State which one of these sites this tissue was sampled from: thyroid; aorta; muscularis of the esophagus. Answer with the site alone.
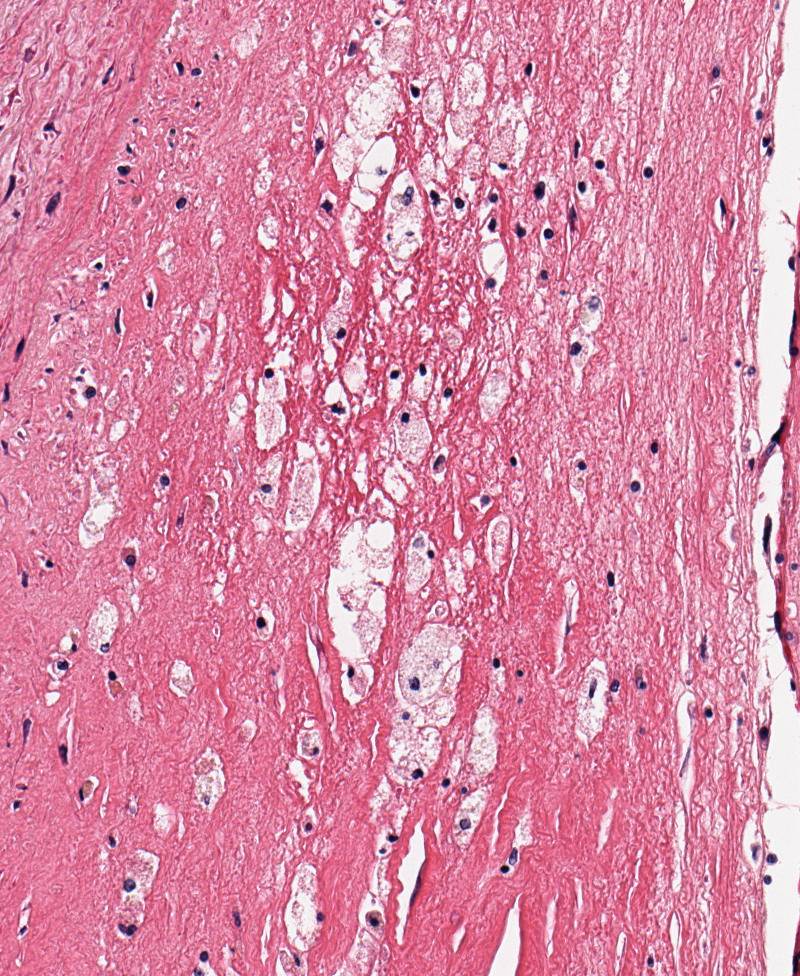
aorta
